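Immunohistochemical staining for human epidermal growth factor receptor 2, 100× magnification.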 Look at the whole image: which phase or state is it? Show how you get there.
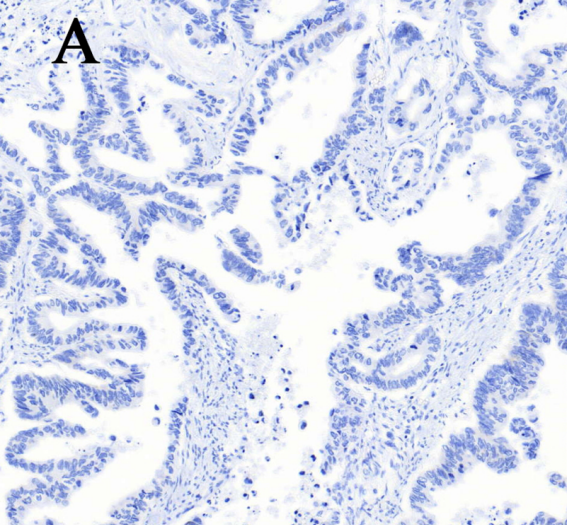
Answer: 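Tumour glands show only blue counterstain. No brown membrane staining is visible in the epithelium.
Conclusion: negative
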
